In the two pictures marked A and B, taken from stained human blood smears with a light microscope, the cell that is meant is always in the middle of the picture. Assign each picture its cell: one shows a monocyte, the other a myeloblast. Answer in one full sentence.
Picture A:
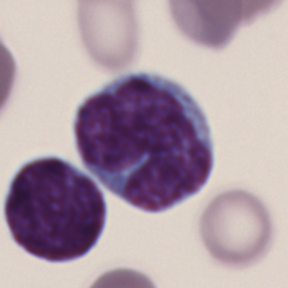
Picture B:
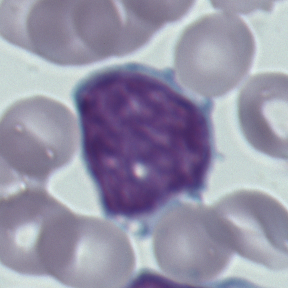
The cell in picture A is a monocyte, and the one in picture B is a myeloblast.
